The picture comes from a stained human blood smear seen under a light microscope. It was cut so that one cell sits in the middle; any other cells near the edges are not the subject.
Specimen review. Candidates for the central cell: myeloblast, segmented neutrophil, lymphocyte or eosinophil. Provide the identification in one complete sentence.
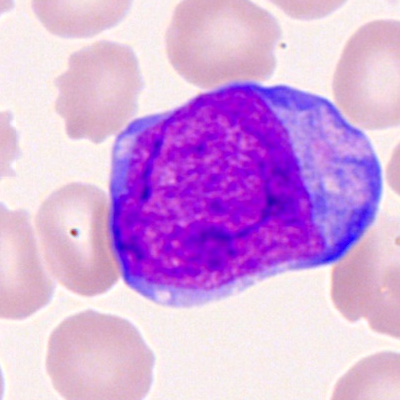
Where the crop is centred, there is a myeloblast.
